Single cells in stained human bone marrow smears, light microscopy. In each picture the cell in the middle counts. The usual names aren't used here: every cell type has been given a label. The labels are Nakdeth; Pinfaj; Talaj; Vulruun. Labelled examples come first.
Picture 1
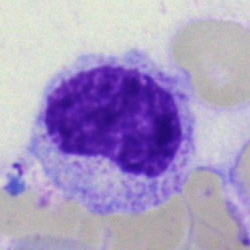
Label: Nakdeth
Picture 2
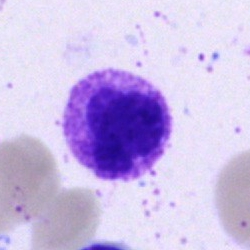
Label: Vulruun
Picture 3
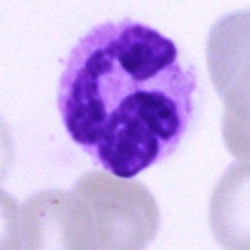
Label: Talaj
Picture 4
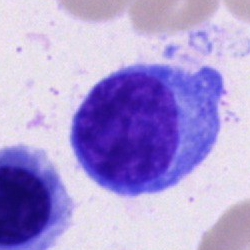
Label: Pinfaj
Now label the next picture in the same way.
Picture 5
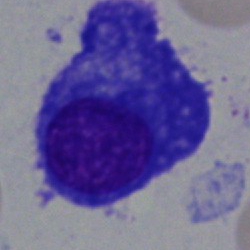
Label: Pinfaj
